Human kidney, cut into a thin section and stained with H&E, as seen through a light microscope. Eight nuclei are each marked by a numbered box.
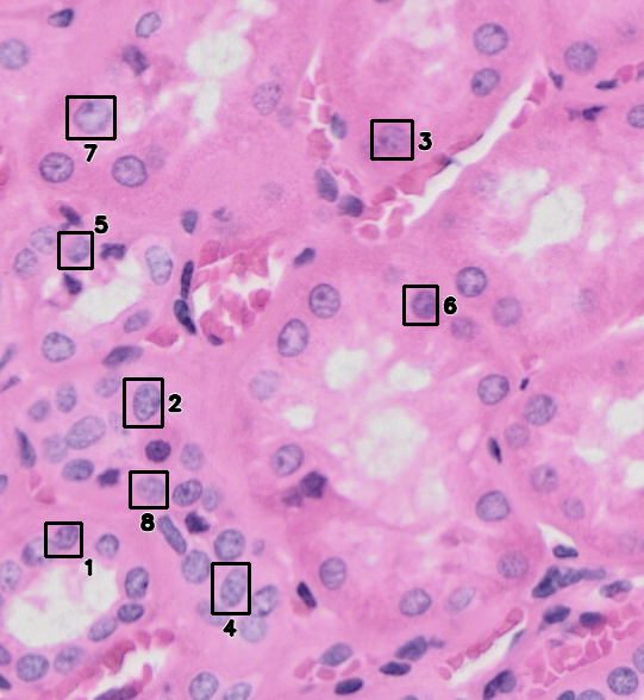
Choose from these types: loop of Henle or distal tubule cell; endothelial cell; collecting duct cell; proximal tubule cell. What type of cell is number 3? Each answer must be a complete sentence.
The cell that is numbered 3 is a proximal tubule cell.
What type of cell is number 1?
The cell numbered 1 has been identified as a collecting duct cell.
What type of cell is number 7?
In this section, number 7 marks a proximal tubule cell.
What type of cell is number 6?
Cell 6 of the marked set is a proximal tubule cell.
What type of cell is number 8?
Classified as a collecting duct cell is the cell with the number 8.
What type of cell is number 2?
The mark numbered 2 indicates the nucleus of a collecting duct cell.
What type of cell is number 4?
Heads up, the cell numbered 4 is a collecting duct cell.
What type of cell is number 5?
Here, the cell given the number 5 is a collecting duct cell.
